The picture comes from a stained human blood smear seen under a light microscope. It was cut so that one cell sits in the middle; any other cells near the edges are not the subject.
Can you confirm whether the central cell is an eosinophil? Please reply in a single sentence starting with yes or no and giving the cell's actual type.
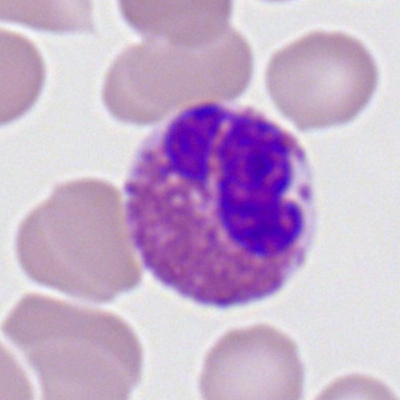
Yes, the cell in the middle is recognised as an eosinophil.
